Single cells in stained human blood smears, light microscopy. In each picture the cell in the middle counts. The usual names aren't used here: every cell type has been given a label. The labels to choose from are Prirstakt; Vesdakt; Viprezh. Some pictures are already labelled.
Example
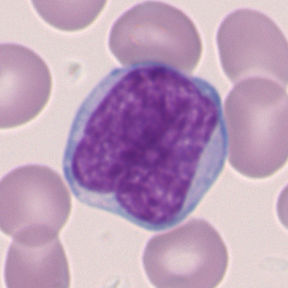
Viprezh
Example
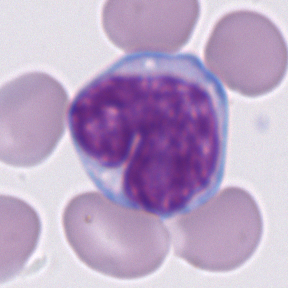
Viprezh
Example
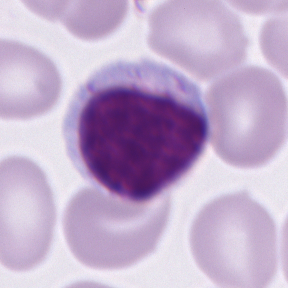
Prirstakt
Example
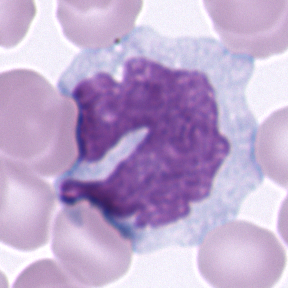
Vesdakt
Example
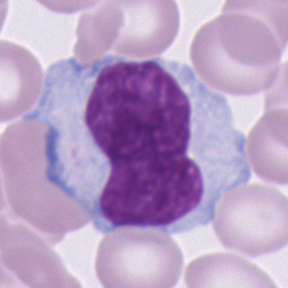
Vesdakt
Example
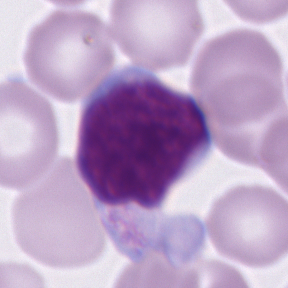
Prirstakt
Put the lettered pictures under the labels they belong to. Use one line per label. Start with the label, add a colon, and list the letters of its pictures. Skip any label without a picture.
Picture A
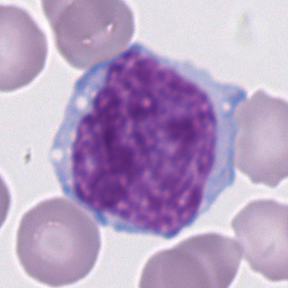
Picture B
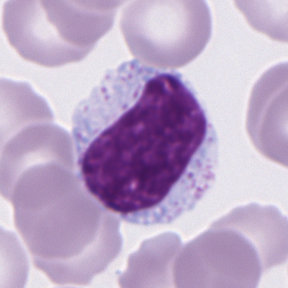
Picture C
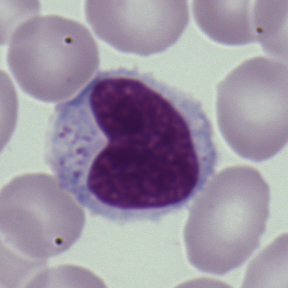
Prirstakt: B, C
Viprezh: A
